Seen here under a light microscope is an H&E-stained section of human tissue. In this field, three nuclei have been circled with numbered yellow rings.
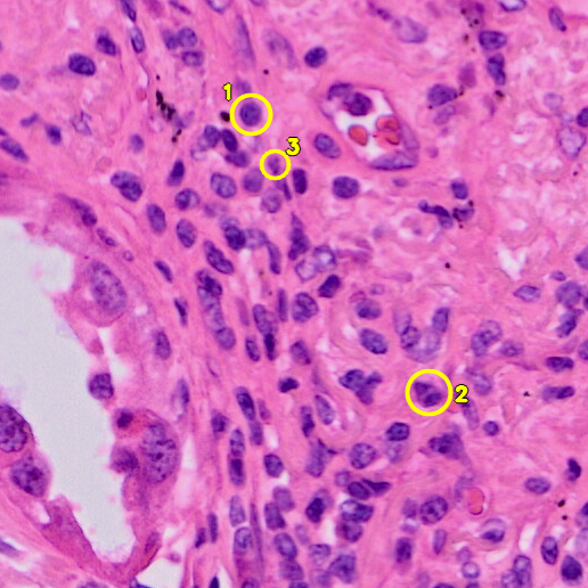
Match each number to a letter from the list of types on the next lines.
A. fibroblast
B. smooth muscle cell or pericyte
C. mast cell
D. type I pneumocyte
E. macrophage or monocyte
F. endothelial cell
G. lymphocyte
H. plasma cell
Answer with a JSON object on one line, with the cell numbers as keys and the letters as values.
{"1": "G", "2": "H", "3": "G"}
